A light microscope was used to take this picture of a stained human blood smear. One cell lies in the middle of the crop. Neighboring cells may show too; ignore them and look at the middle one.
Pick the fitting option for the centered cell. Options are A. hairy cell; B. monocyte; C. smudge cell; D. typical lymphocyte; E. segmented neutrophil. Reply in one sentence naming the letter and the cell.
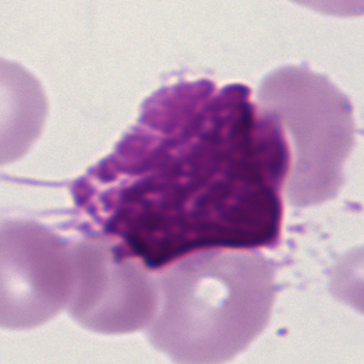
Well, the cell in the middle is a smudge cell, making option C right.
